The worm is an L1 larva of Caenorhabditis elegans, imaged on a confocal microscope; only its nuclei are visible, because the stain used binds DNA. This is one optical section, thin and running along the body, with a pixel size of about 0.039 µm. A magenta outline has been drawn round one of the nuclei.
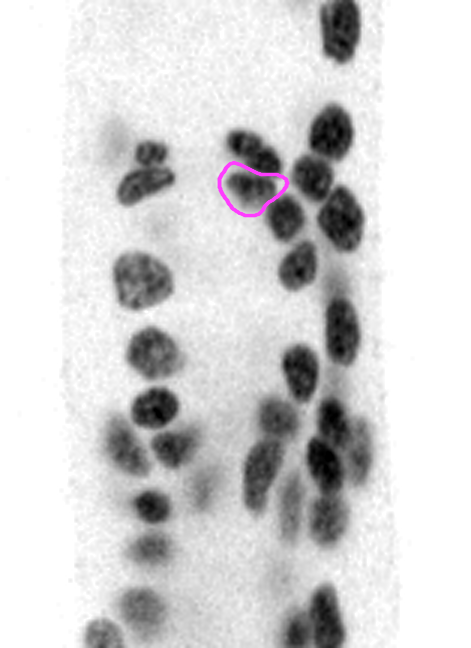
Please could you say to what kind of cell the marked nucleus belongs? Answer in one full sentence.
The cell with the marked nucleus is a pharyngeal muscle cell.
